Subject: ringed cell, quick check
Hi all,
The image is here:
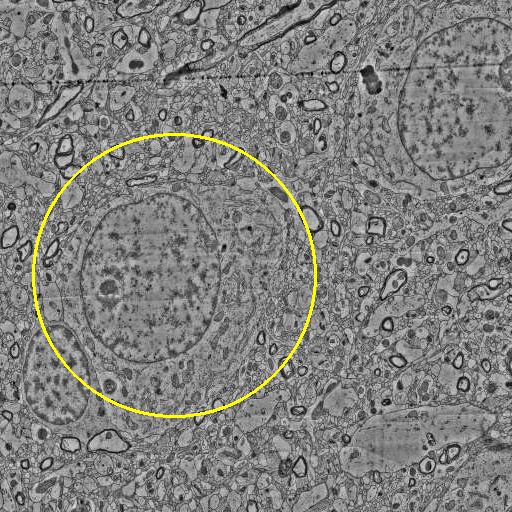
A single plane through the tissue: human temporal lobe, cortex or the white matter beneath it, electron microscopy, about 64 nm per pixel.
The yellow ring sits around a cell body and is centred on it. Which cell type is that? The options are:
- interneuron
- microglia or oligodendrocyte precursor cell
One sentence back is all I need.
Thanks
That ringed cell is an interneuron.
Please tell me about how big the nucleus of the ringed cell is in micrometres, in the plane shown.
About 11 micrometres by about 9 micrometres in this plane.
